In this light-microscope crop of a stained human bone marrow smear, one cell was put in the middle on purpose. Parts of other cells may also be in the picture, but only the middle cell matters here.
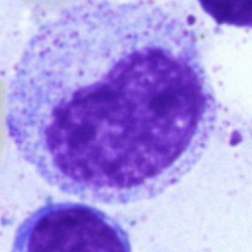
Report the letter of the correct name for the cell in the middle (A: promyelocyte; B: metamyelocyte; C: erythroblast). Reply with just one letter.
B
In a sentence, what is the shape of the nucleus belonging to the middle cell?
The nuclear material is gathered into one compact round, oval or kidney-shaped mass.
